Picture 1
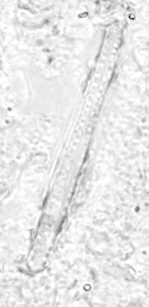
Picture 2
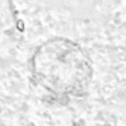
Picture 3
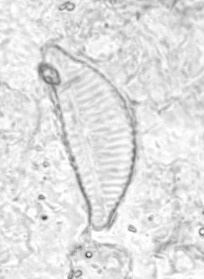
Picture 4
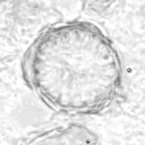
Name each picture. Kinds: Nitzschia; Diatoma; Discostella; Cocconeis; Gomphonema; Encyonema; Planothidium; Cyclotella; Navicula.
(1) Nitzschia
(2) Discostella
(3) Encyonema
(4) Cyclotella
